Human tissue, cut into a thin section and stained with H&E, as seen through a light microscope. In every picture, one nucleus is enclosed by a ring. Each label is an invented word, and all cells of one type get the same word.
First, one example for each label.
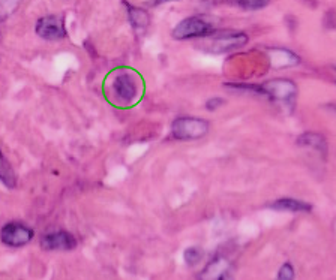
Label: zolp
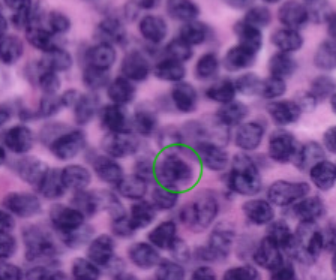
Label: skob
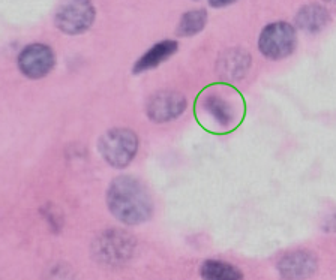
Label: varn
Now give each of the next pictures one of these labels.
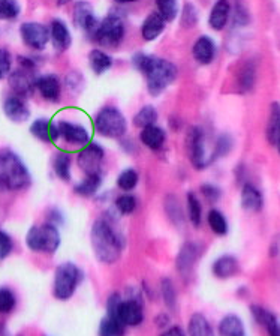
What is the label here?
skob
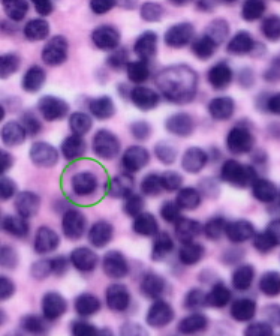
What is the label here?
skob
